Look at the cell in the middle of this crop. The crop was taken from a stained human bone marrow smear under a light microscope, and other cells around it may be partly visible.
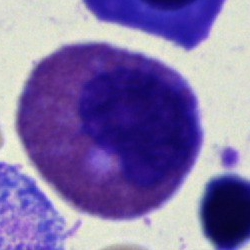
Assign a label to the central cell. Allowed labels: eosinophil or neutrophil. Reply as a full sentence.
The cell found in the middle of this crop is an eosinophil.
